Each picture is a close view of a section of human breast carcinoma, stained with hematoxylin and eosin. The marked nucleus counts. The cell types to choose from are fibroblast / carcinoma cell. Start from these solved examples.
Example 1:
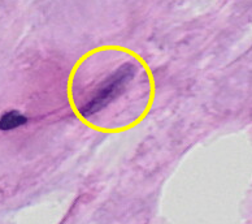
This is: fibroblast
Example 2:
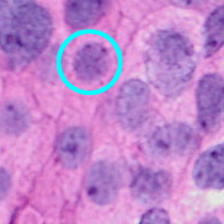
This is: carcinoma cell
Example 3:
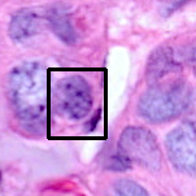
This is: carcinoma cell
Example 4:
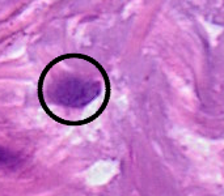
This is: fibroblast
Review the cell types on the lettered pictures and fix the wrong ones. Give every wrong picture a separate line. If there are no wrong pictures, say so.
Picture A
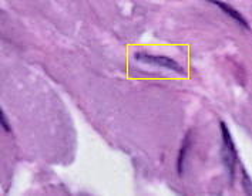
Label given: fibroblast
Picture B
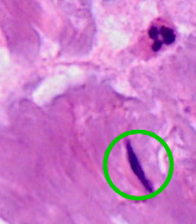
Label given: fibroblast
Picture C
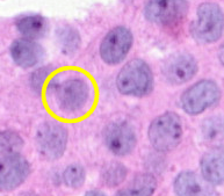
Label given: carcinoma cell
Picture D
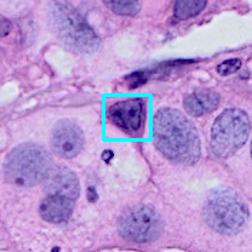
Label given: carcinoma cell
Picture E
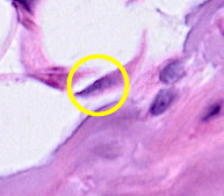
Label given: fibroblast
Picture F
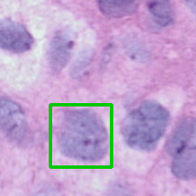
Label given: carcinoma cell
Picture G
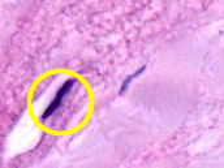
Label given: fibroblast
None of the labels needs changing.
